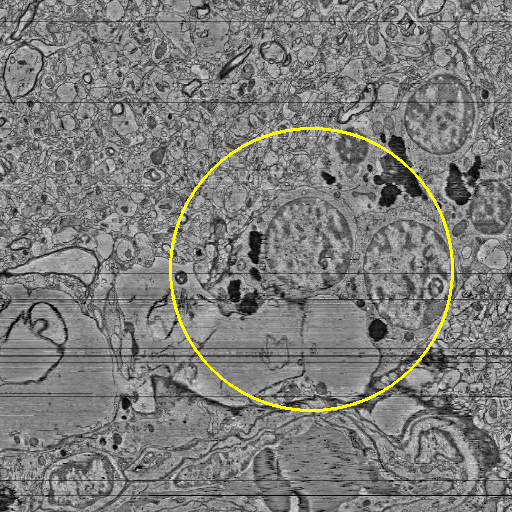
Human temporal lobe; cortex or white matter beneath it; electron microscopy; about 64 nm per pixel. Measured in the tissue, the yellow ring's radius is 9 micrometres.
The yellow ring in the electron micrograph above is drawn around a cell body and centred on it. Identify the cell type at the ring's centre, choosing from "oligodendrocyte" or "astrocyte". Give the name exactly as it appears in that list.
oligodendrocyte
